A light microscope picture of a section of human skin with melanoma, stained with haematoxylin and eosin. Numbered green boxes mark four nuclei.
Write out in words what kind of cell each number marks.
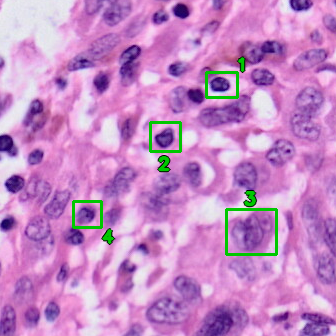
Cell 1 is a lymphocyte, cell 2 is a lymphocyte, cell 3 is a melanoma cell and cell 4 is a lymphocyte.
